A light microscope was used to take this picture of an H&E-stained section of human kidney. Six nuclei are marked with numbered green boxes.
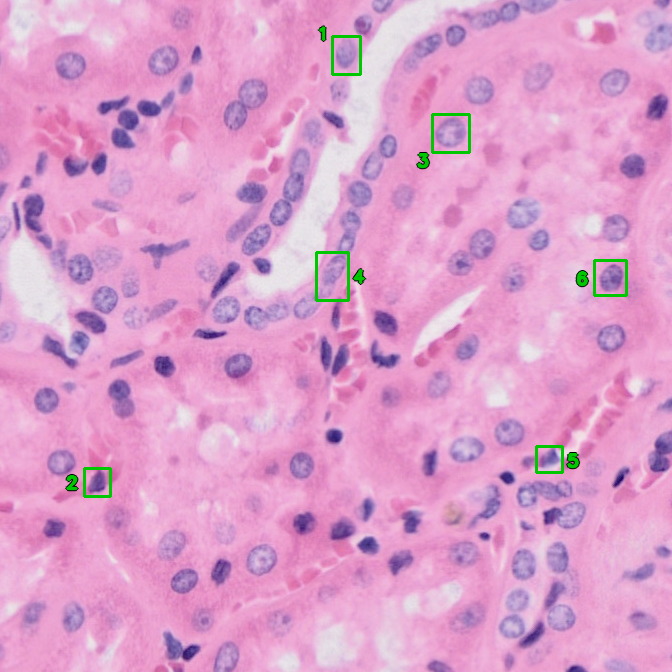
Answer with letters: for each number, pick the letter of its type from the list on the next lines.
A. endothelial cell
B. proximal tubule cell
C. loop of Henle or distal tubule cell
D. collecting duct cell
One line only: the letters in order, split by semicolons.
D; A; B; D; A; B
